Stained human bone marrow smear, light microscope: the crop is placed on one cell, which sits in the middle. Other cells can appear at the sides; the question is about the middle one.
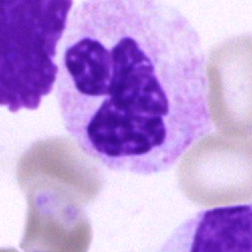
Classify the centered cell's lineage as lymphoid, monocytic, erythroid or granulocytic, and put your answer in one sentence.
The cell occupying the middle of the crop is classified within the granulocytic lineage.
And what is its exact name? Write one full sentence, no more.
In this crop, the cell at the very middle is a segmented neutrophil.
